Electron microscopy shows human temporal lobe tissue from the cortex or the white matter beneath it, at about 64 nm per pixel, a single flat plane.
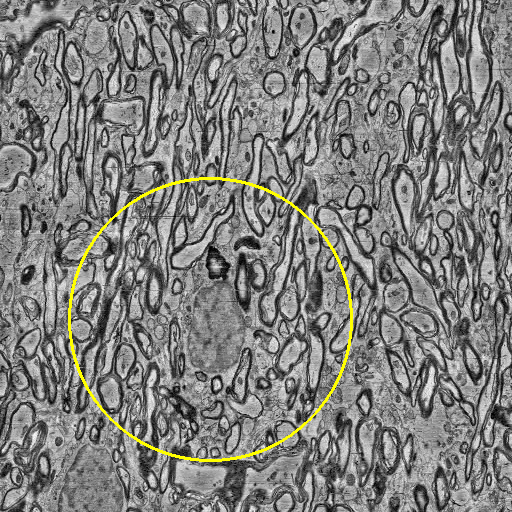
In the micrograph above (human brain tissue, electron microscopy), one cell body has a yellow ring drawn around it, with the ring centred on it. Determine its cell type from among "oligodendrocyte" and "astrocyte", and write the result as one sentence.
The cell whose body is ringed is an oligodendrocyte.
